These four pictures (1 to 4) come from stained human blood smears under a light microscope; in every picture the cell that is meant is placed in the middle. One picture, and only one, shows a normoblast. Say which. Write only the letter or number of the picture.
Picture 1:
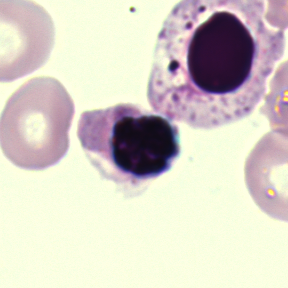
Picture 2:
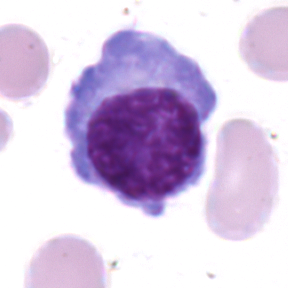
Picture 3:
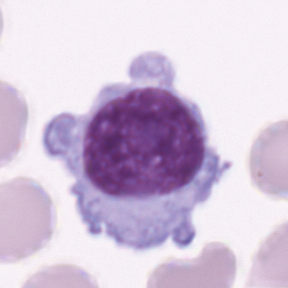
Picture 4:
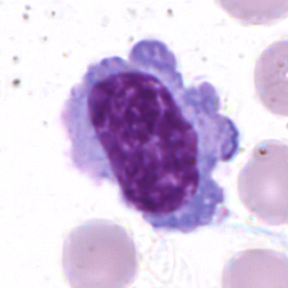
1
